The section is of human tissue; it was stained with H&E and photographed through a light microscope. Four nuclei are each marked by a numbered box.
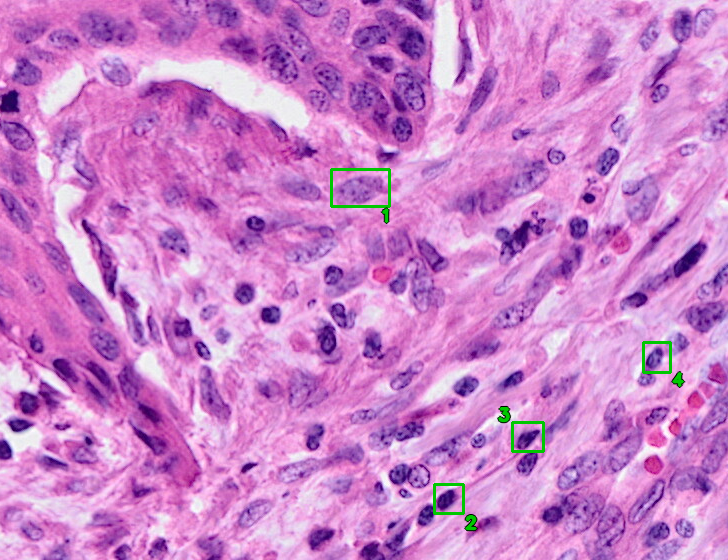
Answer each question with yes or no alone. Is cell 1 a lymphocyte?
no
